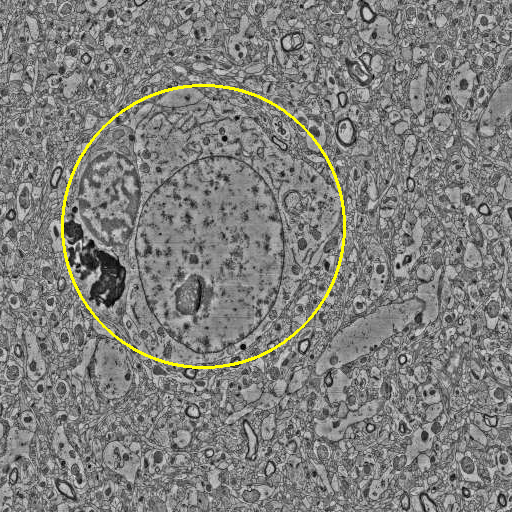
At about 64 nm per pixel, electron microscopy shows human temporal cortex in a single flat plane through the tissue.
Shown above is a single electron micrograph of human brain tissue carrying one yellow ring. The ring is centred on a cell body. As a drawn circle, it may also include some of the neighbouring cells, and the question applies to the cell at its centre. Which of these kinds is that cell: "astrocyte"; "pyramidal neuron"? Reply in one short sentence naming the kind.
The cell marked by the ring is a pyramidal neuron.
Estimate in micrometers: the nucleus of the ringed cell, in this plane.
The ringed cell's nucleus measures approximately 13 by 10 micrometres in this plane.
